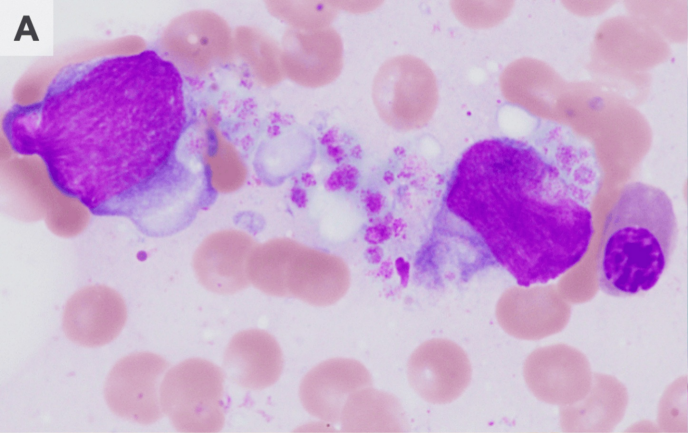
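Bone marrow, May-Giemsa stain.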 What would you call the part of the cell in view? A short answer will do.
Cytoplasmic blebs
